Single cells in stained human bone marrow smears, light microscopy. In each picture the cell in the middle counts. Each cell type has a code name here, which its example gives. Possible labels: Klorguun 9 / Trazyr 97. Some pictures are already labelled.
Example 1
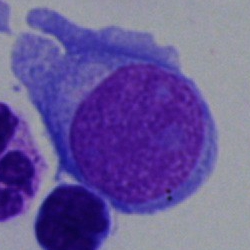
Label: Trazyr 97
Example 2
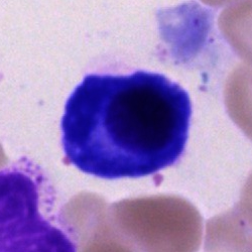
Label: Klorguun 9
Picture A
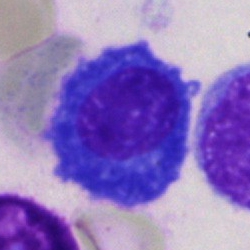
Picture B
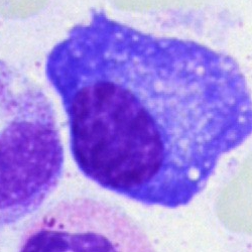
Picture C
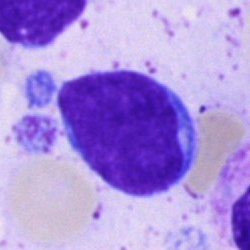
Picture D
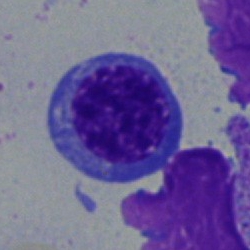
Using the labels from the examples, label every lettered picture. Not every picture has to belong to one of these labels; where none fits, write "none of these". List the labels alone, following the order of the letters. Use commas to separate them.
Klorguun 9, Klorguun 9, Trazyr 97, none of these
